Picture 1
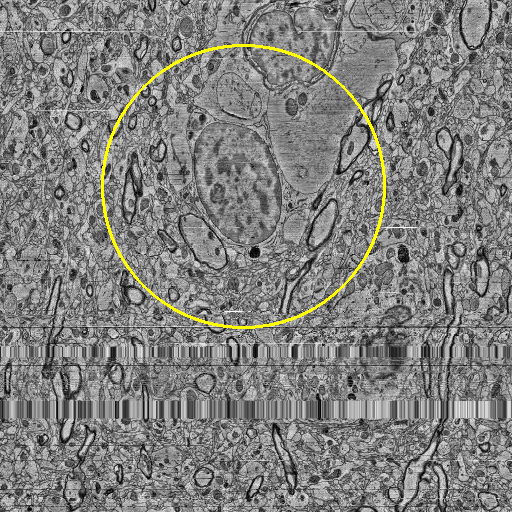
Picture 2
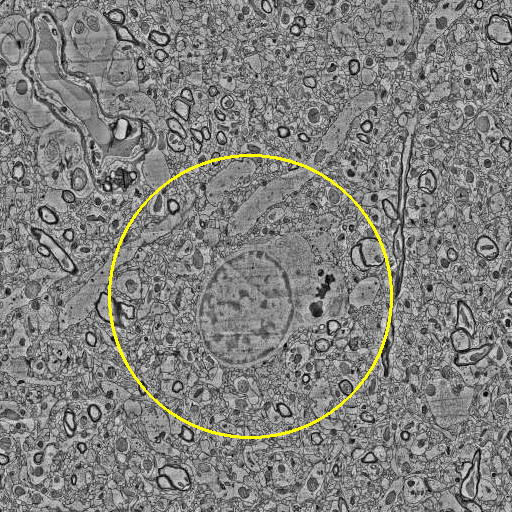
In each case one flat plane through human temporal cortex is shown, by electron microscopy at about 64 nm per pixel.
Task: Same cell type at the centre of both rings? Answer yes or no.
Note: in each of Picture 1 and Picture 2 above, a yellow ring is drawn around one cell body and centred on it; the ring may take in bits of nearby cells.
yes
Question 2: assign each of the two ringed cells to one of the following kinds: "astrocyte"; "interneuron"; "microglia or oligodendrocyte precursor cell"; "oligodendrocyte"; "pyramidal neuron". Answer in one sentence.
Both rings mark a microglial cell or oligodendrocyte precursor cell, one in each picture.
